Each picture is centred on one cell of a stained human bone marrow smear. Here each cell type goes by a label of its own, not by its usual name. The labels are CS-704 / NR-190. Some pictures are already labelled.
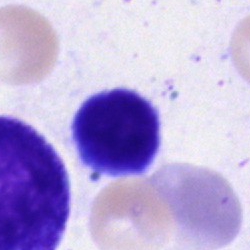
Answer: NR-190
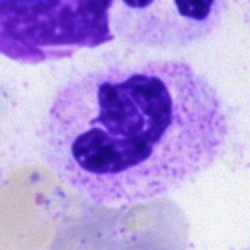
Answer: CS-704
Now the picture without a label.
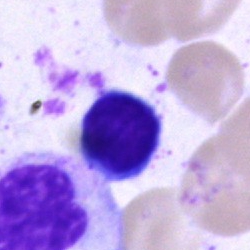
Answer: NR-190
